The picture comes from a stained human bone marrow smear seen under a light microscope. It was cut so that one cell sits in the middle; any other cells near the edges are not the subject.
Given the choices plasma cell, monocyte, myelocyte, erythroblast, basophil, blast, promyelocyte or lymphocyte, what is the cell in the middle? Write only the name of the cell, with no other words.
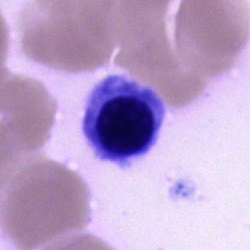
erythroblast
